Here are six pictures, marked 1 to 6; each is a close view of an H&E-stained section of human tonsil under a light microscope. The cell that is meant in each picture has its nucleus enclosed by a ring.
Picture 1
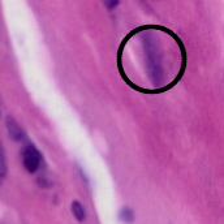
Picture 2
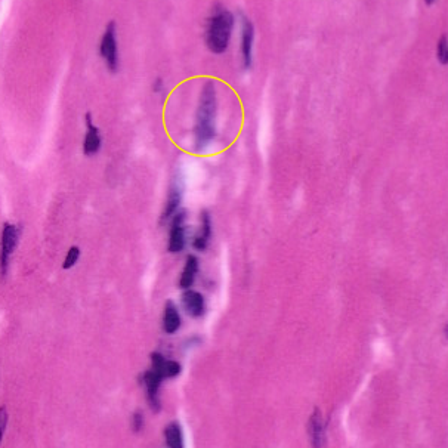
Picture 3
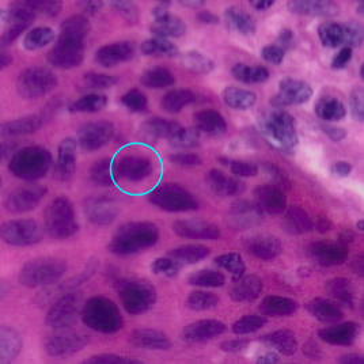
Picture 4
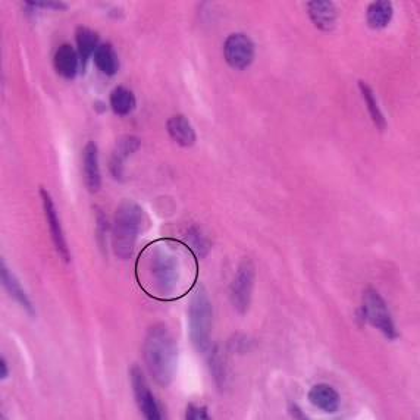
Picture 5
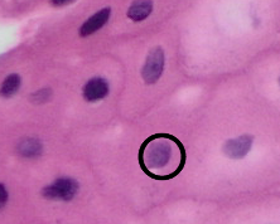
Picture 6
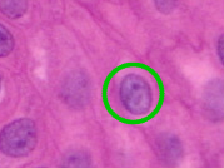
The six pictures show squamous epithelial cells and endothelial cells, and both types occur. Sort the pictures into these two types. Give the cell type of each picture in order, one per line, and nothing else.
endothelial cell
endothelial cell
squamous epithelial cell
endothelial cell
squamous epithelial cell
squamous epithelial cell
